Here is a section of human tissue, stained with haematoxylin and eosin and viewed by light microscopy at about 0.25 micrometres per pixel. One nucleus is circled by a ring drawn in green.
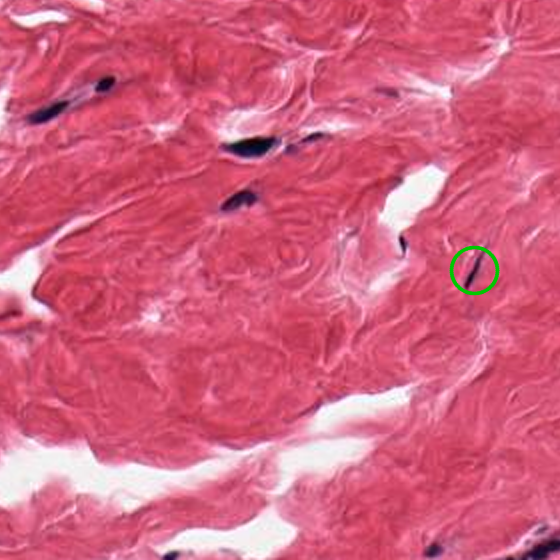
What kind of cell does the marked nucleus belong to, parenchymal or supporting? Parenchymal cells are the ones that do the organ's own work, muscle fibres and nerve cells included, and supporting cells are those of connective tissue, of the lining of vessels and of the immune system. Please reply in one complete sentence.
Forming part of a supporting cell is the marked nucleus.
